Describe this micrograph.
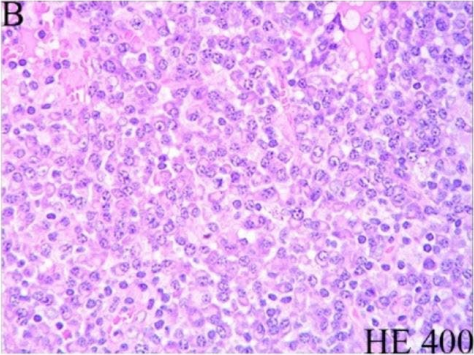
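Densely packed plasma cells infiltrate the tissue, seen at high magnification. The cells have abundant pink to purple cytoplasm and round nuclei placed off-centre, many with coarse, clumped chromatin. A little pink material lies between some of the cells.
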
